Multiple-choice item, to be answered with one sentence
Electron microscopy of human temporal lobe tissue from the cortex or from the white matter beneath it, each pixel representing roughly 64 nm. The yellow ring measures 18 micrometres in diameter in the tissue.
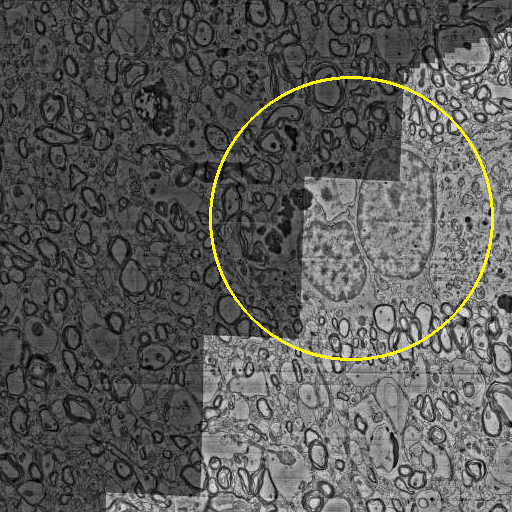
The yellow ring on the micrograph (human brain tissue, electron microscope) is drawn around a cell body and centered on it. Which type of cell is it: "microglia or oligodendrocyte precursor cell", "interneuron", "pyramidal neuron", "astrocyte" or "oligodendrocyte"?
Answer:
The ring is centered on a microglial cell or oligodendrocyte precursor cell.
